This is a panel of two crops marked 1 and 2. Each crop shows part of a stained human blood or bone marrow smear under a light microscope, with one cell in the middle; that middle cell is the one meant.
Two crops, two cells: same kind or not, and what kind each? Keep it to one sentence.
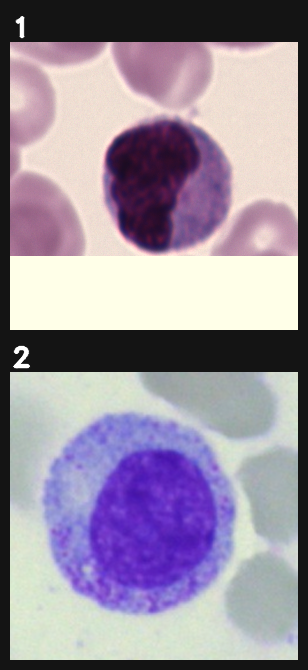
No, what crop 1 shows is a monocyte, and what crop 2 shows is a myelocyte.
